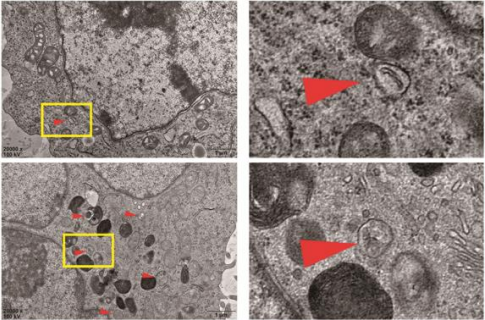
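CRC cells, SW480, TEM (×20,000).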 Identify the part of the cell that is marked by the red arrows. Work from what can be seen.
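Autophagic vacuoles. The arrowheads point to rounded membrane-bound vacuoles in the cytoplasm.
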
